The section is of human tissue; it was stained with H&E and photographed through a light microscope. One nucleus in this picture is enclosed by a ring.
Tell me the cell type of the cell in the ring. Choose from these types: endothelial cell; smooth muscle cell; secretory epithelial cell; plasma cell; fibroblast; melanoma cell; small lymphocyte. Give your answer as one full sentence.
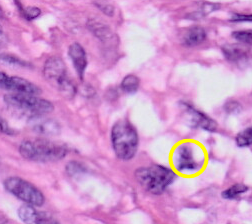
Typologically, the cell in the ring is a melanoma cell in this section.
